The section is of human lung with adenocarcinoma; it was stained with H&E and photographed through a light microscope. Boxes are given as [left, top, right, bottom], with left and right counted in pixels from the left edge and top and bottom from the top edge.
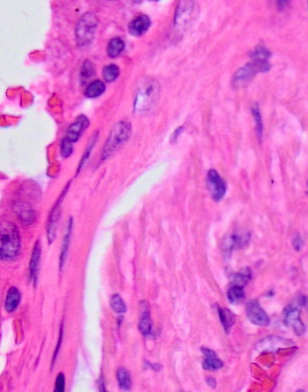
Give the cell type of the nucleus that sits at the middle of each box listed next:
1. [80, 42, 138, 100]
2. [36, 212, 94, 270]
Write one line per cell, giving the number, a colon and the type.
1: lymphocyte
2: fibroblast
